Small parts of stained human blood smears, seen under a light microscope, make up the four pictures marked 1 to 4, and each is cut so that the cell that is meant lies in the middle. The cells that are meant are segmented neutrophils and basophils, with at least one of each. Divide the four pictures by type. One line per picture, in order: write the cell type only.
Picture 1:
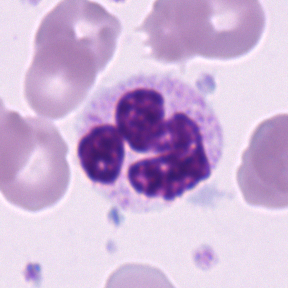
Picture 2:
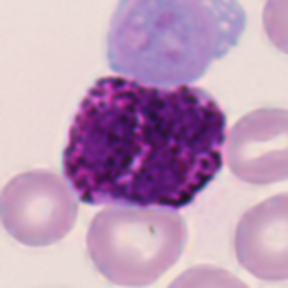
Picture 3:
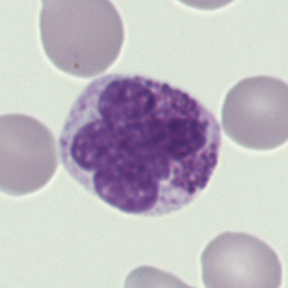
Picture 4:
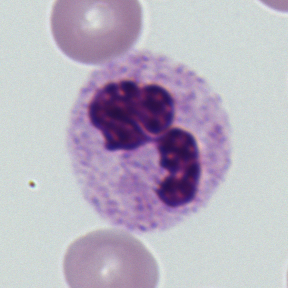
segmented neutrophil
basophil
basophil
segmented neutrophil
